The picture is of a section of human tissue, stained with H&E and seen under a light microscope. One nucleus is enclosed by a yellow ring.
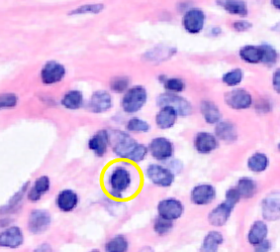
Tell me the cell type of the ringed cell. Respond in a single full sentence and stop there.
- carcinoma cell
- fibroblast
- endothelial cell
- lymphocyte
Microscopically, the ringed cell is categorized as a lymphocyte.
